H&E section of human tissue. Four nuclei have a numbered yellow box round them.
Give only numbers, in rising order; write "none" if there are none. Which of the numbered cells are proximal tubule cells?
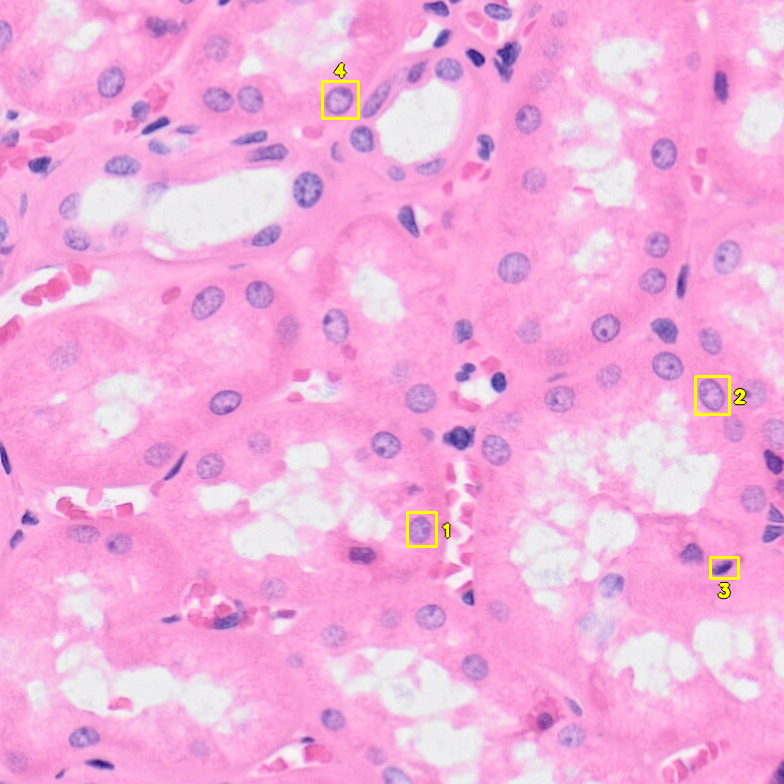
1, 2, 4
